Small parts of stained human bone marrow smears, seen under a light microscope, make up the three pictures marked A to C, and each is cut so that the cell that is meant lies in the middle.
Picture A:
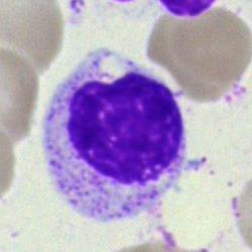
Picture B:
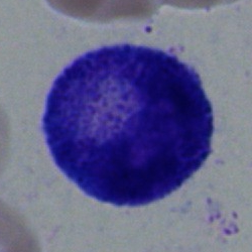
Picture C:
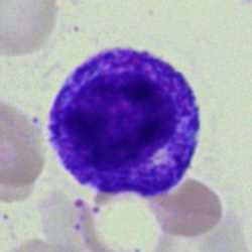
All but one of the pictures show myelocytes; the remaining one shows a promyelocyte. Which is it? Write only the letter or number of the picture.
B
